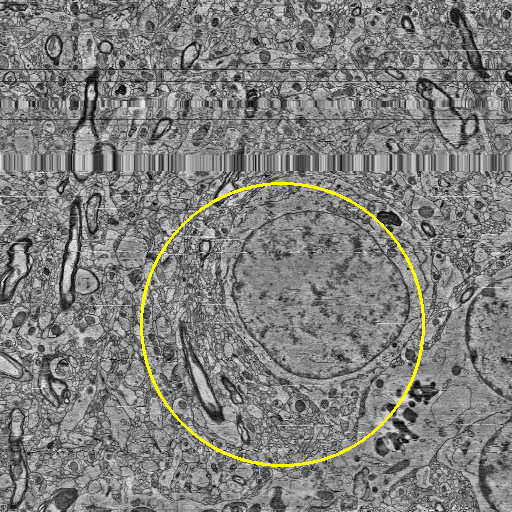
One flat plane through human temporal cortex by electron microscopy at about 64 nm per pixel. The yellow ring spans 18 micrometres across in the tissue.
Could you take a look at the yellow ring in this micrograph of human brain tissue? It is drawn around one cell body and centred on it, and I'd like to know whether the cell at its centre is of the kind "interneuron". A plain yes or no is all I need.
no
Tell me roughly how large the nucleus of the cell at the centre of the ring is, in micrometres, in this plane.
About 11 micrometres across, as seen in this plane.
